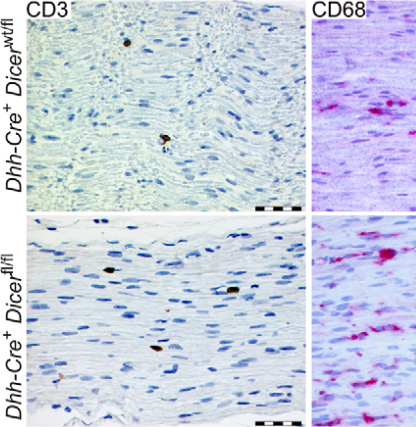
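These are longitudinal sections of a peripheral nerve, with the blue spindle-shaped nuclei of resident nerve cells running along the fibres and scattered immune cells lying between them. On the left, a few small, round cells are stained dark brown, and they are sparse in both sections. On the right, irregular red-stained cells are scattered among the fibres, and they are clearly more numerous in the lower section than in the upper one.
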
